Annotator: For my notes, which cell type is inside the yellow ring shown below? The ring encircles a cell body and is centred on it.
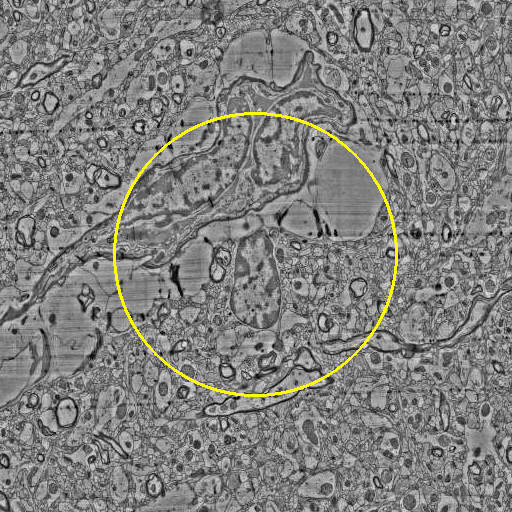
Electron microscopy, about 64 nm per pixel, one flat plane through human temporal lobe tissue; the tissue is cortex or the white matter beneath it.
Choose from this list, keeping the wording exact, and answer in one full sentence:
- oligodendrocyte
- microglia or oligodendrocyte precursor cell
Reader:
At the centre of the yellow ring there is a microglial cell or oligodendrocyte precursor cell, as shown in the picture.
